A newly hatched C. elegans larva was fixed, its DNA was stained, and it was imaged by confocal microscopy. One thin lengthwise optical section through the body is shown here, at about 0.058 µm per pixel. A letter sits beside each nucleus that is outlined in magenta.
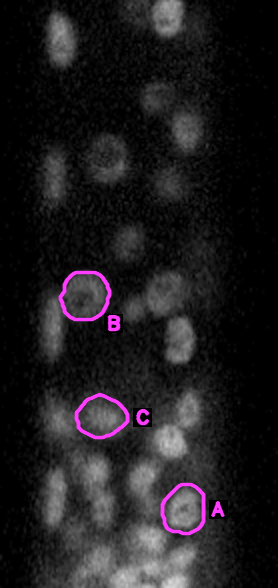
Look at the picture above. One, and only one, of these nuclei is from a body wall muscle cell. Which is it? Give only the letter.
A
